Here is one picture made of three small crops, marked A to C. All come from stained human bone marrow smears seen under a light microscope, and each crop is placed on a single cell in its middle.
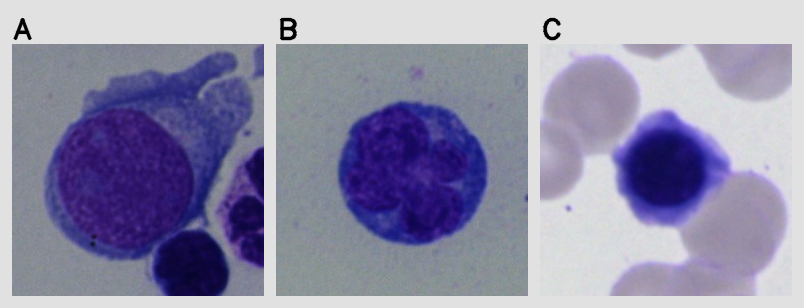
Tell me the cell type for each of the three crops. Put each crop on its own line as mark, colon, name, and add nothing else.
A: blast
B: blast
C: erythroblast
